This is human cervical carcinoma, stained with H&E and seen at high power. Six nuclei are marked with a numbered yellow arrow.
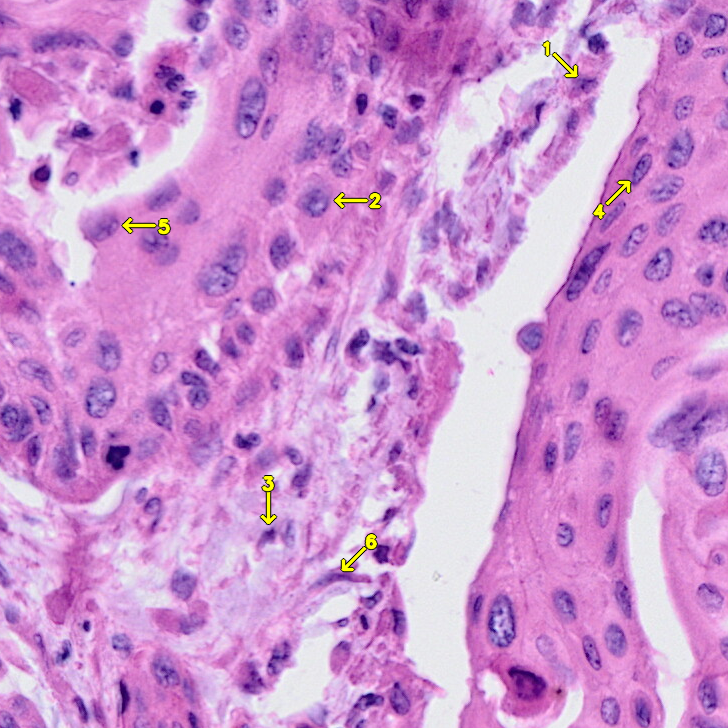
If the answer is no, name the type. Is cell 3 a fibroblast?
Yes.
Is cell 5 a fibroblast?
No, it is a squamous carcinoma cell.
